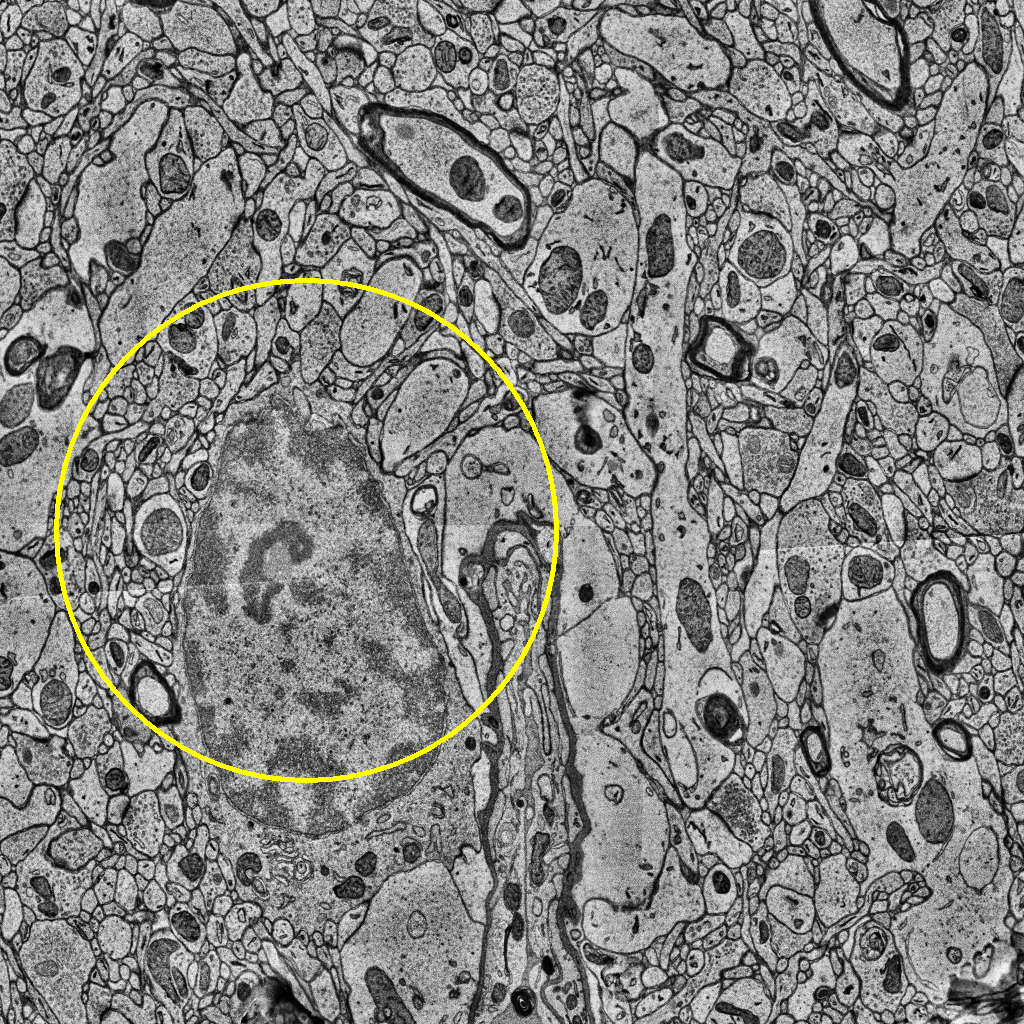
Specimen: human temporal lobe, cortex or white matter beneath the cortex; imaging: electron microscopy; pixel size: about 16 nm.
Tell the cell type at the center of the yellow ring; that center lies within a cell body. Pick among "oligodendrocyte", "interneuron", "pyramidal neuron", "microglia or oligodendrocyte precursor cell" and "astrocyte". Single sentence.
The ring's center lies in the body of an oligodendrocyte.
